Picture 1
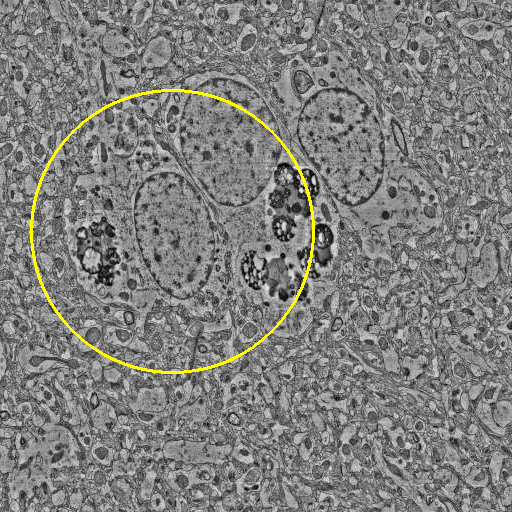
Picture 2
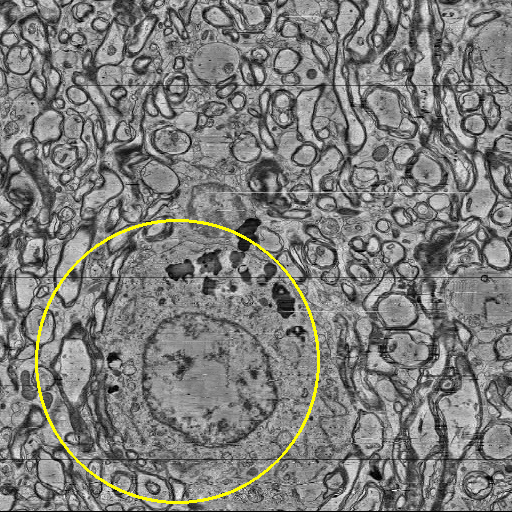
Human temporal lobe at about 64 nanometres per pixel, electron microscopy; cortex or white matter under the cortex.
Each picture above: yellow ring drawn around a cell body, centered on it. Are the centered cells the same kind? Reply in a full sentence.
No, the two cells are two kinds of cell.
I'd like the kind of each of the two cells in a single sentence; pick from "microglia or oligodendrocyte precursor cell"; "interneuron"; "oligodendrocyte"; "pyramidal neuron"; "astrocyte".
The first ring marks an astrocyte, and the second ring marks a pyramidal neuron.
